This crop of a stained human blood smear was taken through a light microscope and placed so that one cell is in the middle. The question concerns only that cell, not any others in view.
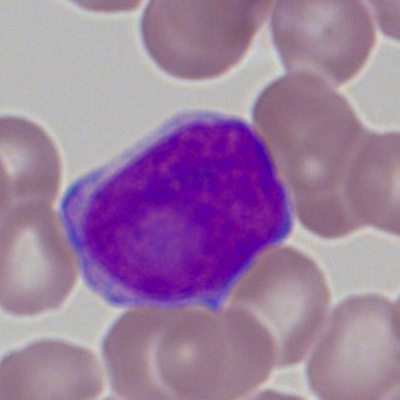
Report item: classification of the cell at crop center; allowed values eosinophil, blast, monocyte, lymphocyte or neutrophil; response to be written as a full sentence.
In the middle of this smear crop, the cell is a blast.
